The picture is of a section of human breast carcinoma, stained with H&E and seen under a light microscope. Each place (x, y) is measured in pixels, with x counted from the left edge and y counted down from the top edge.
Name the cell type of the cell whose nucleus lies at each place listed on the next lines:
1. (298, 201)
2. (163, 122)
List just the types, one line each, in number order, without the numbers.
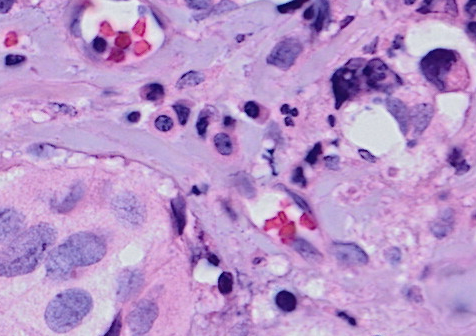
endothelial cell
mast cell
